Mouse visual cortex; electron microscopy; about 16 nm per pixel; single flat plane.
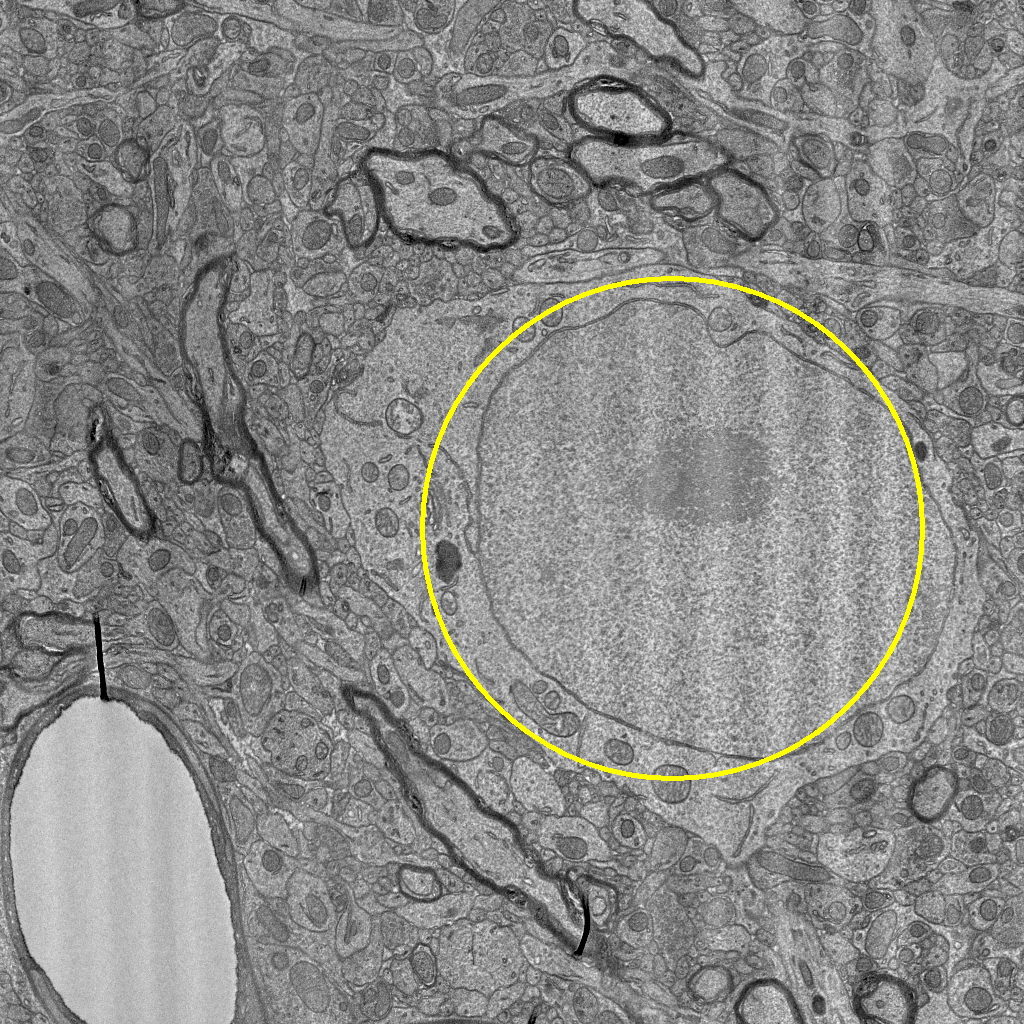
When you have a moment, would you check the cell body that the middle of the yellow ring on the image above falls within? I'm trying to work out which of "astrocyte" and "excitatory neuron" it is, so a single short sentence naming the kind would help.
This cell body belongs to an excitatory neuron.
